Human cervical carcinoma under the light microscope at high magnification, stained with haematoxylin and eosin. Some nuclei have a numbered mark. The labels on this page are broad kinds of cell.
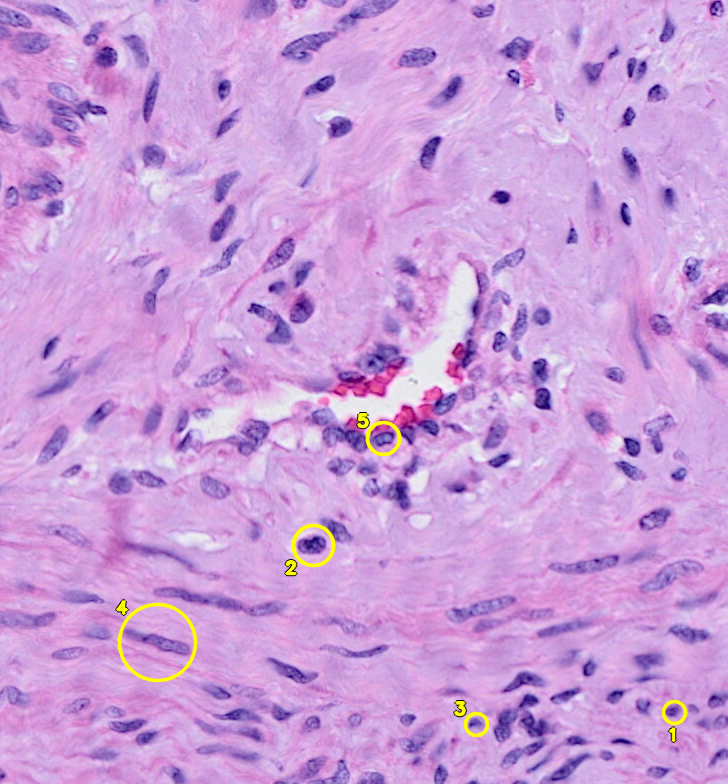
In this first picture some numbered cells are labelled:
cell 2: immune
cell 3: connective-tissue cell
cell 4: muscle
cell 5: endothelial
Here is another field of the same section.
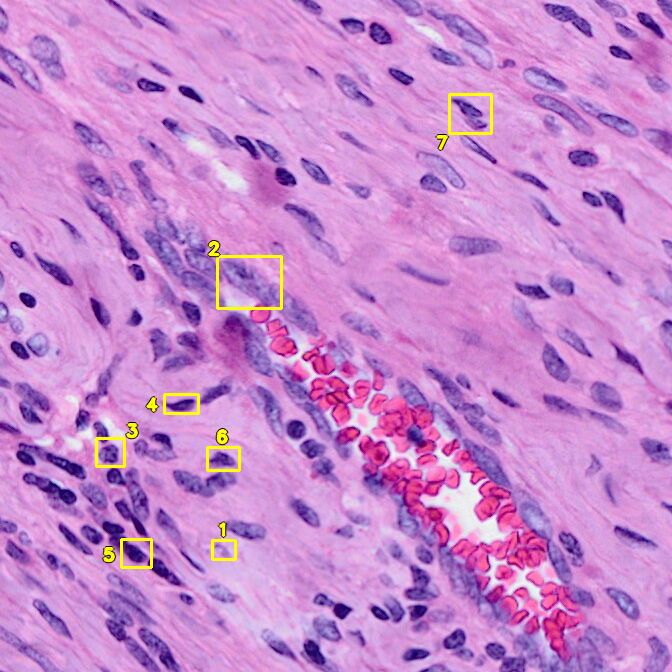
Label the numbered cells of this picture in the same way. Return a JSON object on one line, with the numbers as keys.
{"1": "connective-tissue cell", "2": "endothelial", "3": "immune", "4": "connective-tissue cell", "5": "immune", "6": "connective-tissue cell", "7": "connective-tissue cell"}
